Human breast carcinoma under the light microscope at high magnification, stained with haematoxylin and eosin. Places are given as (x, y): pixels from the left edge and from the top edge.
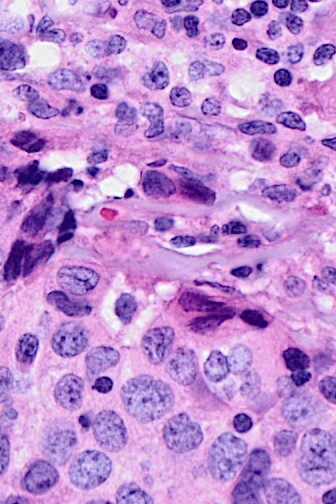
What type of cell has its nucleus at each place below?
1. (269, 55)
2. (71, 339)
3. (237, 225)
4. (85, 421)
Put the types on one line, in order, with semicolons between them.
lymphocyte; carcinoma cell; lymphocyte; lymphocyte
